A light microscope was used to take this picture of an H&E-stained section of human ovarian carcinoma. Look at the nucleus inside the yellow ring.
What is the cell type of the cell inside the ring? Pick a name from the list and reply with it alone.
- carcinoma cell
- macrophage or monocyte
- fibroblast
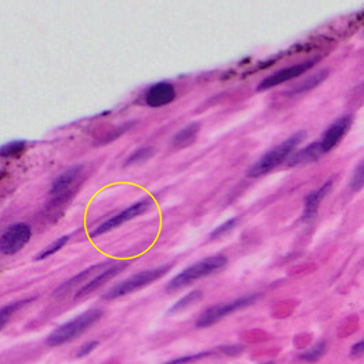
fibroblast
